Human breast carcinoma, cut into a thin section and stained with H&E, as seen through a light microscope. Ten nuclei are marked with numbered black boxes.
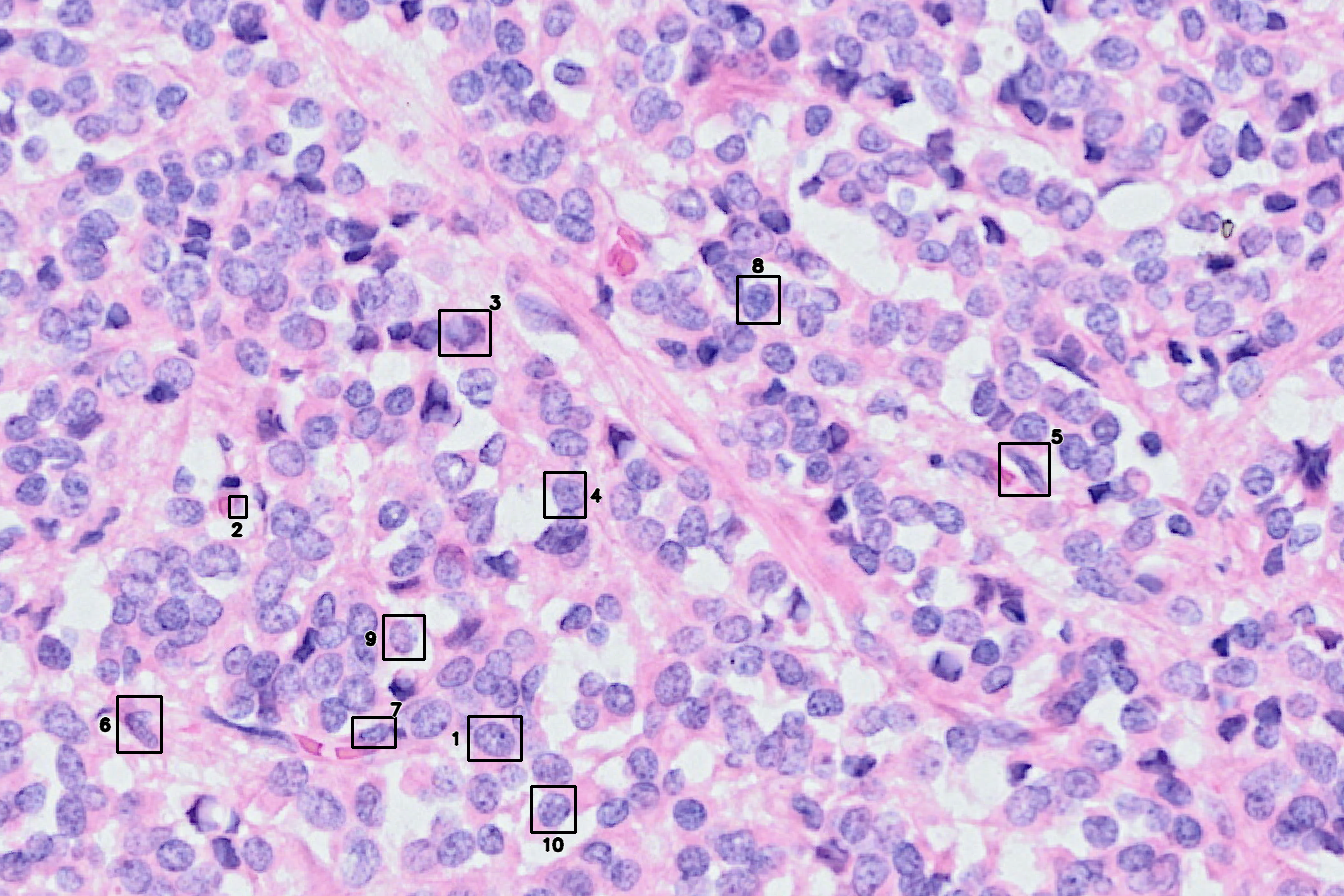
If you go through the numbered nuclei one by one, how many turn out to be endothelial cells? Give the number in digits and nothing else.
4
